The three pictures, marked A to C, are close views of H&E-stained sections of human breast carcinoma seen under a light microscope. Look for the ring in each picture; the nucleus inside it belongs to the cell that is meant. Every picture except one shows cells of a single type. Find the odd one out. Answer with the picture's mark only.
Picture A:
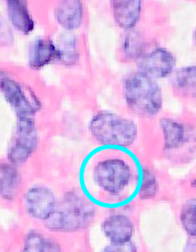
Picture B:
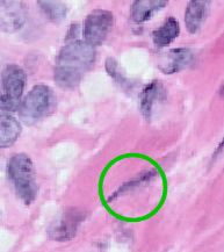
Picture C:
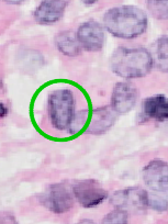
B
